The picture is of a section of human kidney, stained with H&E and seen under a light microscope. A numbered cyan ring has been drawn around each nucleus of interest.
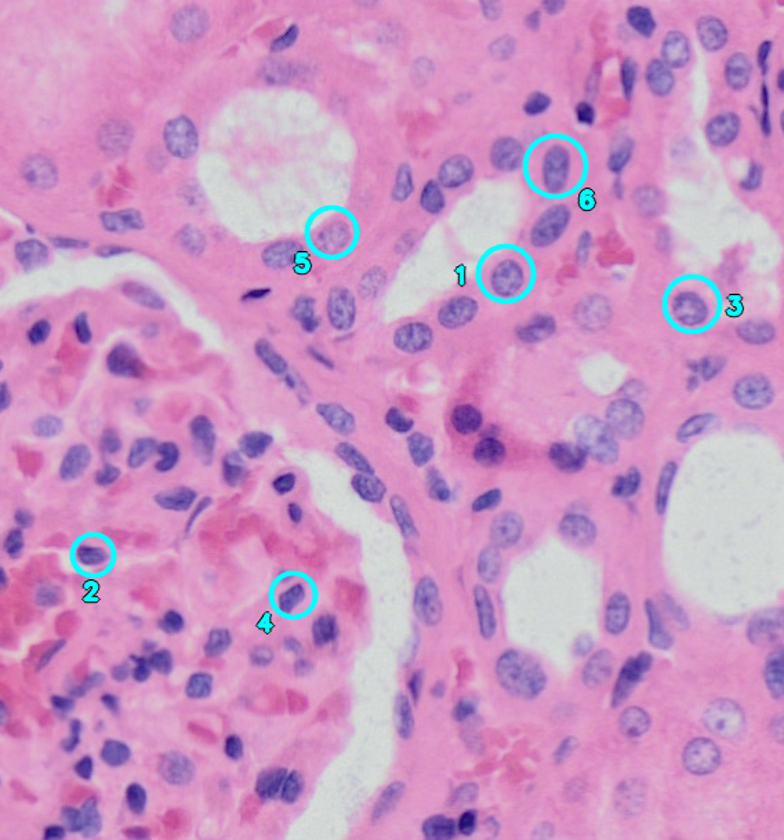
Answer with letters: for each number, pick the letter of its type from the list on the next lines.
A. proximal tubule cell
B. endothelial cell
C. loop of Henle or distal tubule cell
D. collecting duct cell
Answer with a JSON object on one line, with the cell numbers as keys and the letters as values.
{"1": "D", "2": "B", "3": "C", "4": "B", "5": "C", "6": "D"}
